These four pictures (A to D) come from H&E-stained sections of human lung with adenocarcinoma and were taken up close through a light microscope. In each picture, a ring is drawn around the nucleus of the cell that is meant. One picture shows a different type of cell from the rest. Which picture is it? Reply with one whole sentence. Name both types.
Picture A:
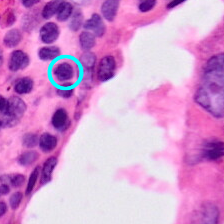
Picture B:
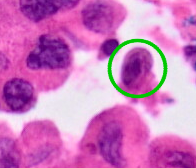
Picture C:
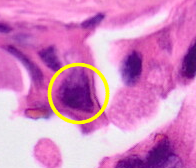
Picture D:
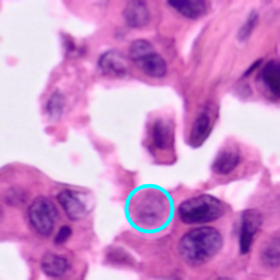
All pictures except A show carcinoma cells; picture A shows a lymphocyte.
